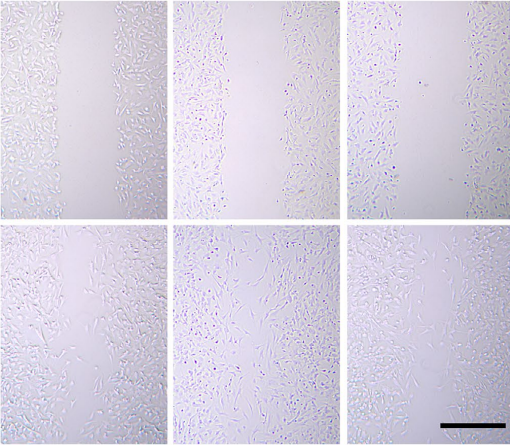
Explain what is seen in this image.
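The cells are mostly elongated, spindle-shaped or polygonal, faintly lilac-stained, with thin tapering extensions. In the upper row the wound edges are fairly straight and the gap is empty. In the lower row cells have spread into the gap, scattered singly within it, and the bare strip is narrower.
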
